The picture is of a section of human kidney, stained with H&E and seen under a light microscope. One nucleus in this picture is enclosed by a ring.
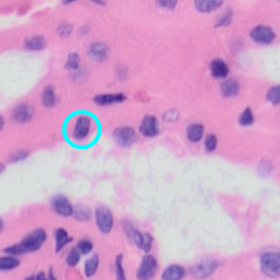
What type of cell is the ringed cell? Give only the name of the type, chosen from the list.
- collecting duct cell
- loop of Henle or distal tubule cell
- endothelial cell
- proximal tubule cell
loop of Henle or distal tubule cell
